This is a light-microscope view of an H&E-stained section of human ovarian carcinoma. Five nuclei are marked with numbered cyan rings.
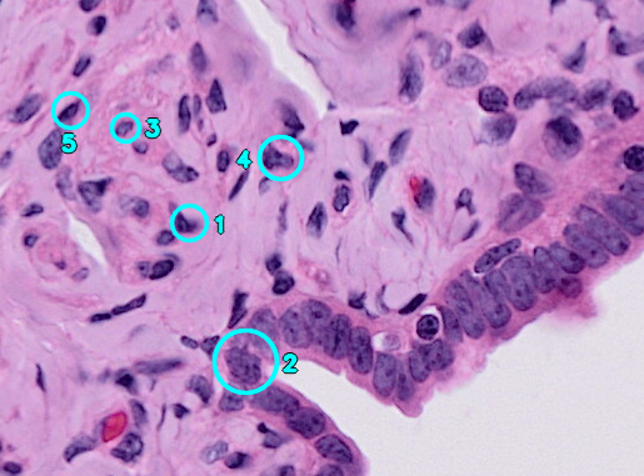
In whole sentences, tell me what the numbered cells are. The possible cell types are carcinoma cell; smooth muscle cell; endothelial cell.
Cell 1 is a smooth muscle cell, cell 2 is a carcinoma cell, cell 3 is a smooth muscle cell, cell 4 is an endothelial cell and cell 5 is a smooth muscle cell.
